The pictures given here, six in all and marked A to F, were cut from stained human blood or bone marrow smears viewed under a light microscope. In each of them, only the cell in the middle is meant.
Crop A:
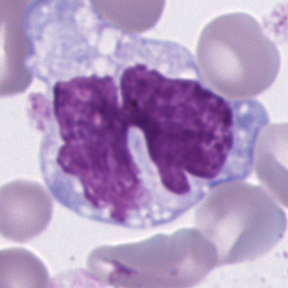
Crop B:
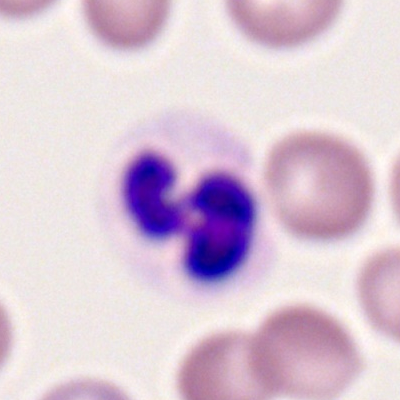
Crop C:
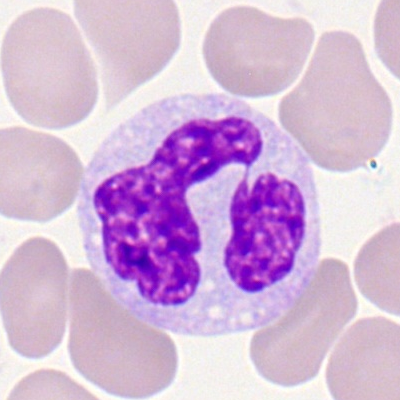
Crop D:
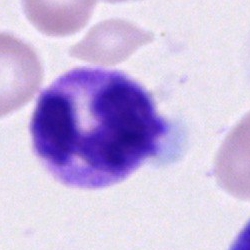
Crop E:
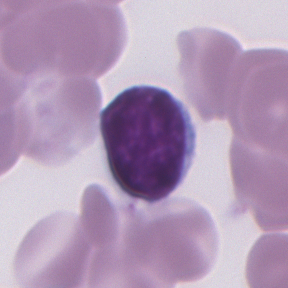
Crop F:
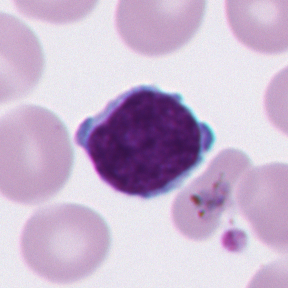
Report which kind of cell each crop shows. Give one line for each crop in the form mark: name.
A: monocyte
B: segmented neutrophil
C: monocyte
D: segmented neutrophil
E: lymphocyte
F: lymphocyte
